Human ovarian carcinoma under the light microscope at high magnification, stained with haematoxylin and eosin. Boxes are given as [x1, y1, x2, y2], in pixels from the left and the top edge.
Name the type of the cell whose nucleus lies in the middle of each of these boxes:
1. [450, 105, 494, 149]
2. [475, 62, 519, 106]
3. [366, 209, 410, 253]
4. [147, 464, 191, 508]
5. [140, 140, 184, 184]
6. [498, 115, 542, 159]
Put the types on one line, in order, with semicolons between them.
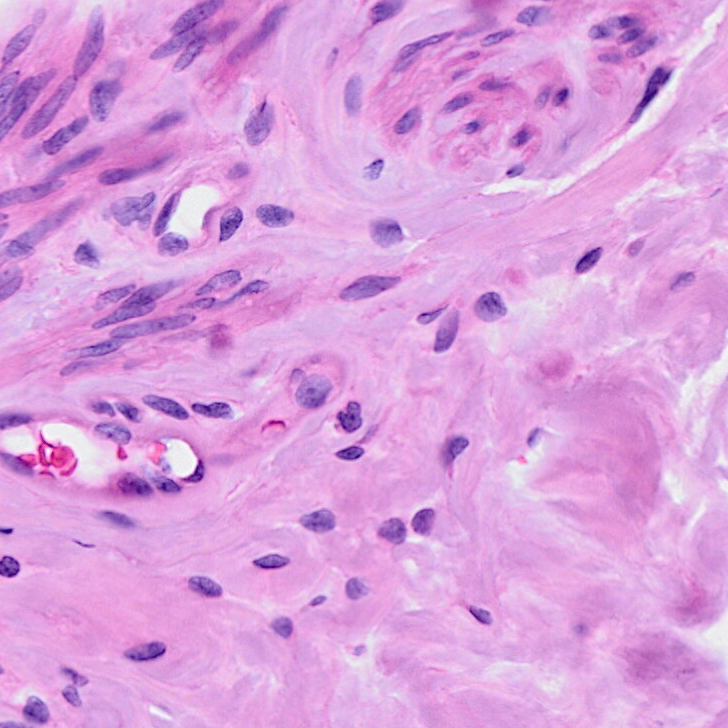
smooth muscle cell; smooth muscle cell; fibroblast; endothelial cell; smooth muscle cell; smooth muscle cell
